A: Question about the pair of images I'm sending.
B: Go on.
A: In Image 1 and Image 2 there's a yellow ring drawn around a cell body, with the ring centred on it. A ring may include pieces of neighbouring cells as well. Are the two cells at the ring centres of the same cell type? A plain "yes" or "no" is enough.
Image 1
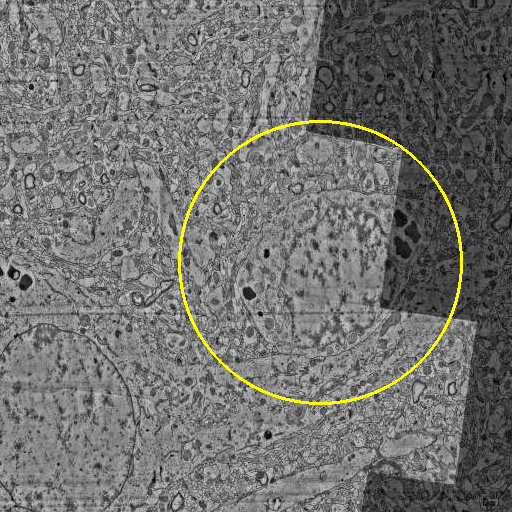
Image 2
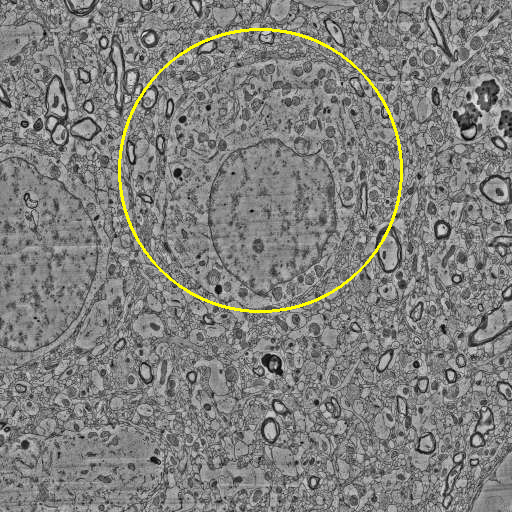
yes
